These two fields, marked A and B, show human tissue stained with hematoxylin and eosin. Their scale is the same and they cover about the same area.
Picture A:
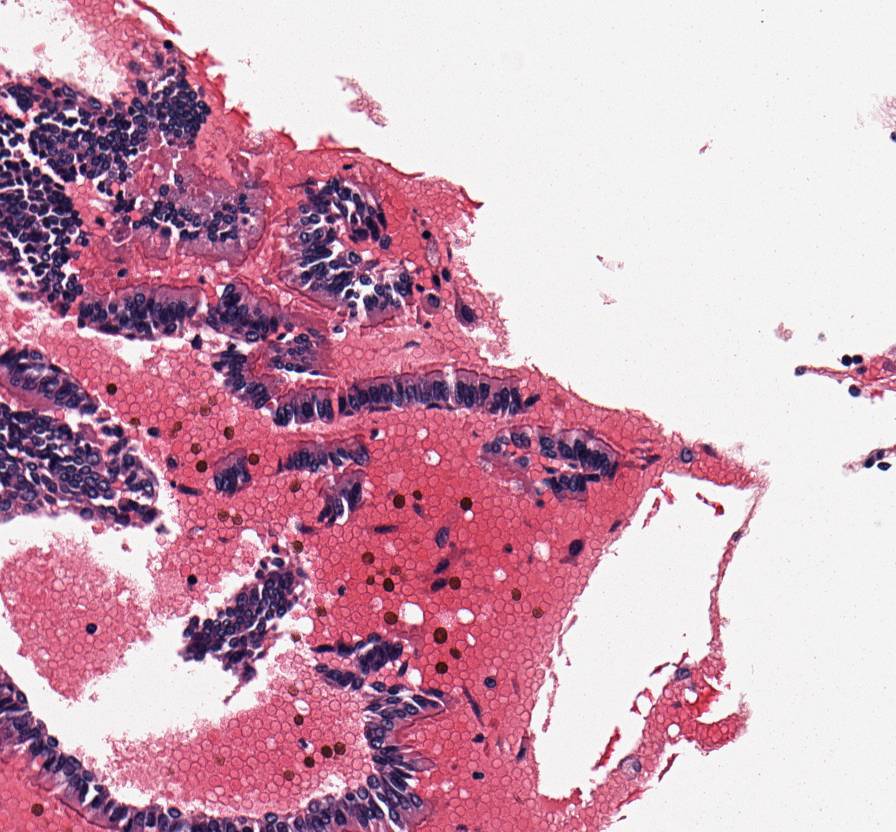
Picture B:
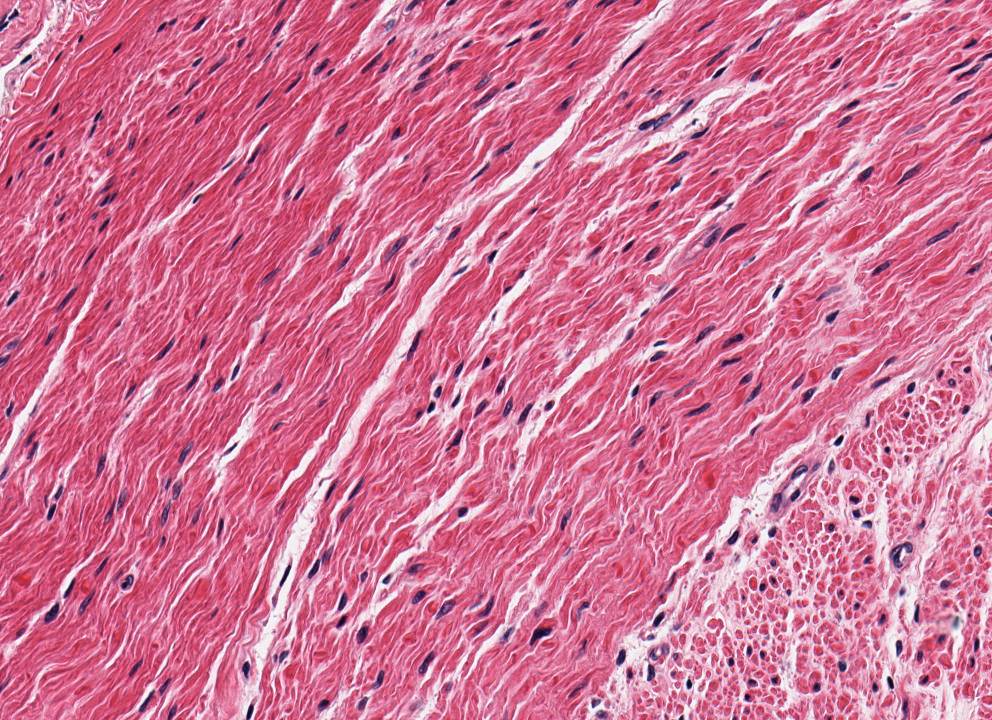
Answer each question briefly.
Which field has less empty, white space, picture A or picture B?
B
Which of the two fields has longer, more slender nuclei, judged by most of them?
B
